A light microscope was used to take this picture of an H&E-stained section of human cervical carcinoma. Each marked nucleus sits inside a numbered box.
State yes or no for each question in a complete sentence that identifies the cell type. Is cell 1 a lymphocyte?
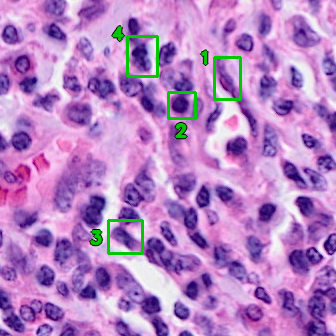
No, cell 1 is classified as an endothelial cell rather than a lymphocyte.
